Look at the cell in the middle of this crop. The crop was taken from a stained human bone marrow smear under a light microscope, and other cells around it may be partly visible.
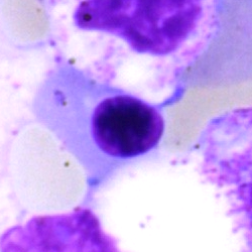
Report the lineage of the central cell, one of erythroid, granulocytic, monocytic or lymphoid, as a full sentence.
The cell found in the middle of this crop is erythroid in lineage.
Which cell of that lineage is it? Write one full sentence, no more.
The cell sitting right in the middle is an erythroblast.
